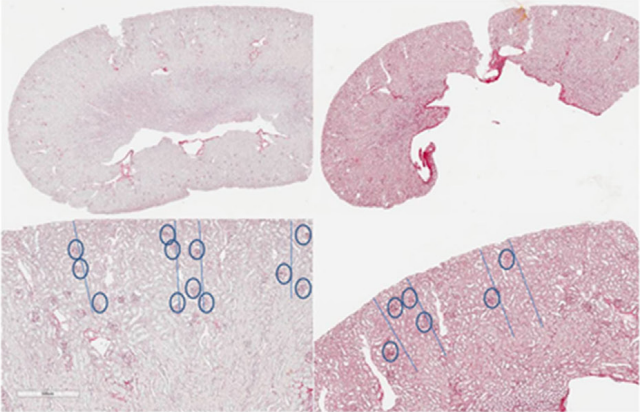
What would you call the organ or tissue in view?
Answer: Kidney.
